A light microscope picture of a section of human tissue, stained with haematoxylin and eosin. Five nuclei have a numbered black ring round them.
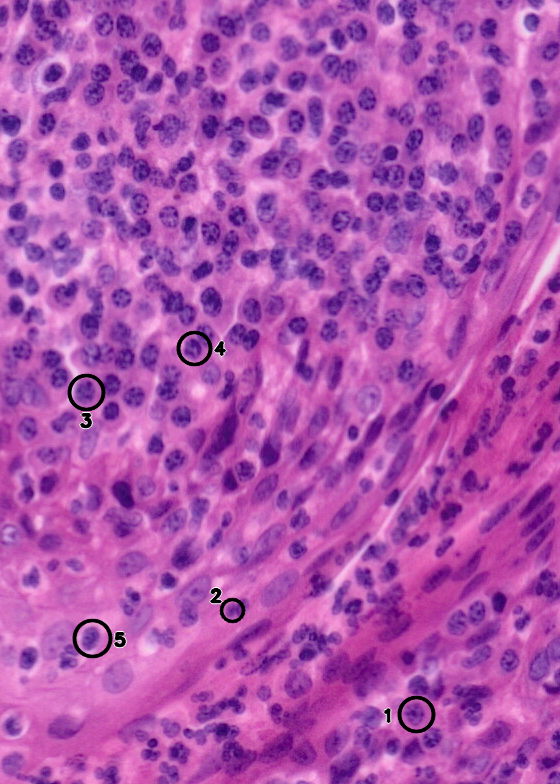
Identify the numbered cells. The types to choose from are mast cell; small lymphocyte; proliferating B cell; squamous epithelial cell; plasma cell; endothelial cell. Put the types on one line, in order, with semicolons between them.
plasma cell; squamous epithelial cell; plasma cell; plasma cell; squamous epithelial cell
